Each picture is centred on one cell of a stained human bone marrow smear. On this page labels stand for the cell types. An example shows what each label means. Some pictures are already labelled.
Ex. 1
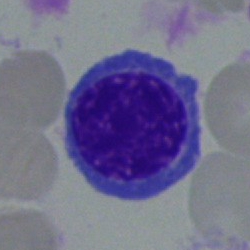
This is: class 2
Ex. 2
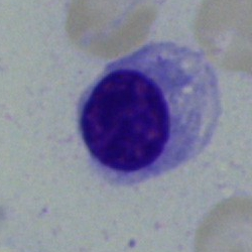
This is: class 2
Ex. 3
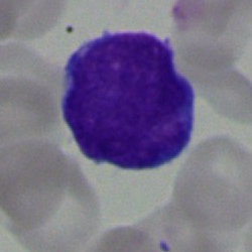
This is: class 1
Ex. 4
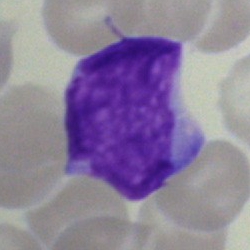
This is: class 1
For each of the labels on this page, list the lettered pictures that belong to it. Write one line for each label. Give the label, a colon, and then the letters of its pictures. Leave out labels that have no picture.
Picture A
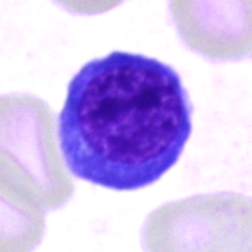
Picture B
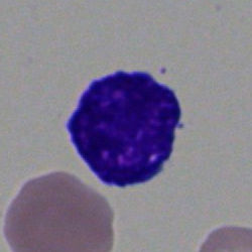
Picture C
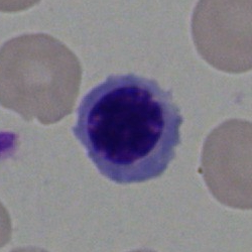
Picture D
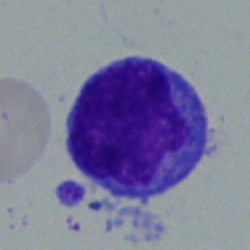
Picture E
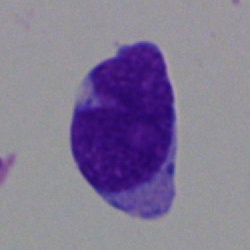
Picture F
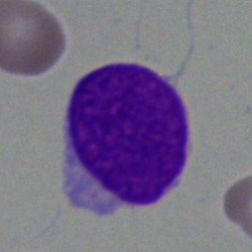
class 2: A, C
class 1: B, D, E, F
